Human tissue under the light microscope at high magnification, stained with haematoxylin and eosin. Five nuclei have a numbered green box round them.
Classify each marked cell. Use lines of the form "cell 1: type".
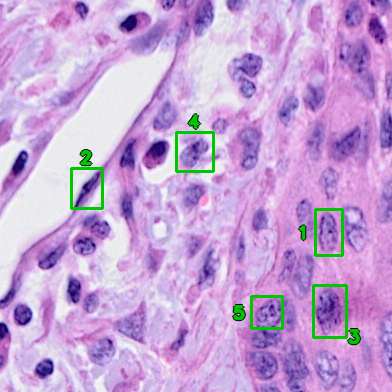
cell 1: squamous carcinoma cell
cell 2: endothelial cell
cell 3: squamous carcinoma cell
cell 4: macrophage or monocyte
cell 5: squamous carcinoma cell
